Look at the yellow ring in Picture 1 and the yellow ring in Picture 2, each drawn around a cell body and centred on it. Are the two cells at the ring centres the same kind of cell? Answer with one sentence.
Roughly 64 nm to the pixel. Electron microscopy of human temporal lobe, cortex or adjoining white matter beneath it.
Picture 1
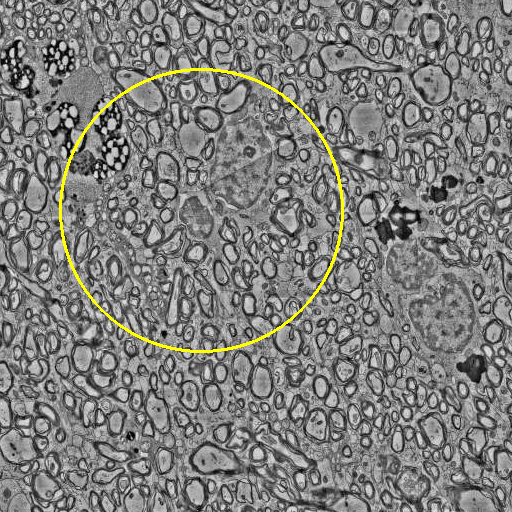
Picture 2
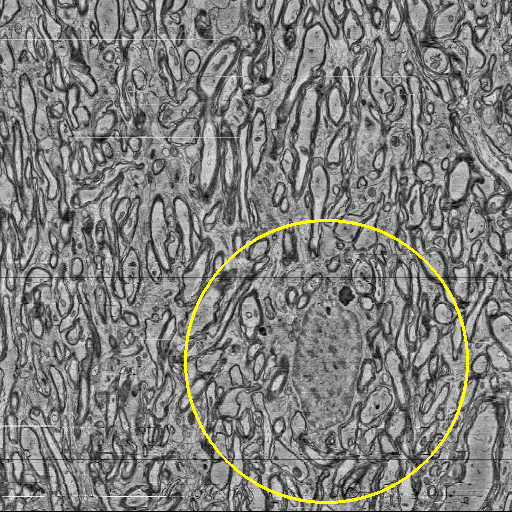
Yes, both are the same kind of cell.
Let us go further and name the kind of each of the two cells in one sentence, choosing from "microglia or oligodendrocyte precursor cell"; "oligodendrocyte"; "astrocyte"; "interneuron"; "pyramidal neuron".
The second cell is an oligodendrocyte, just as the first is.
